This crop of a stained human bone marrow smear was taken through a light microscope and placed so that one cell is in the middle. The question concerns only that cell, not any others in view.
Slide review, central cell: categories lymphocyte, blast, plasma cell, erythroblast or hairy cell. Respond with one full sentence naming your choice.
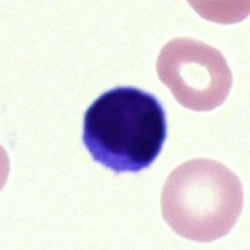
This crop has a lymphocyte at its centre.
